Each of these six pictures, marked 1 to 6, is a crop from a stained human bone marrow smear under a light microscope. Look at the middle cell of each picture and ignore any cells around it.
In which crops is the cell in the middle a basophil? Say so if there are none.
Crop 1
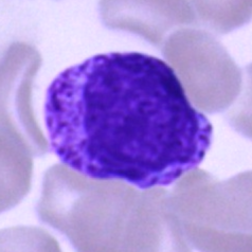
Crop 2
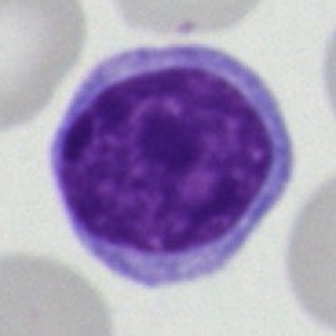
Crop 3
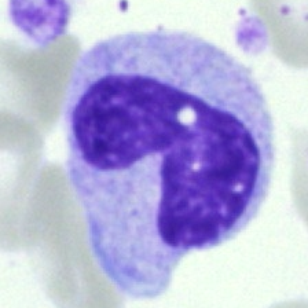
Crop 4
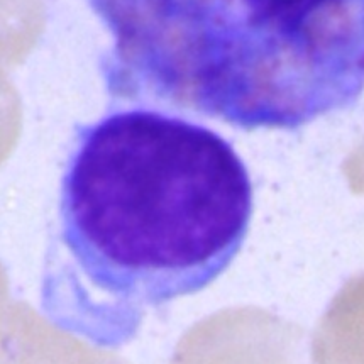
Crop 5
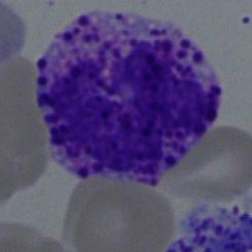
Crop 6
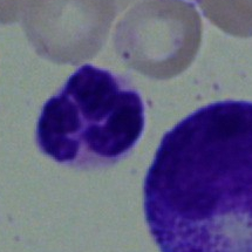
1, 5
